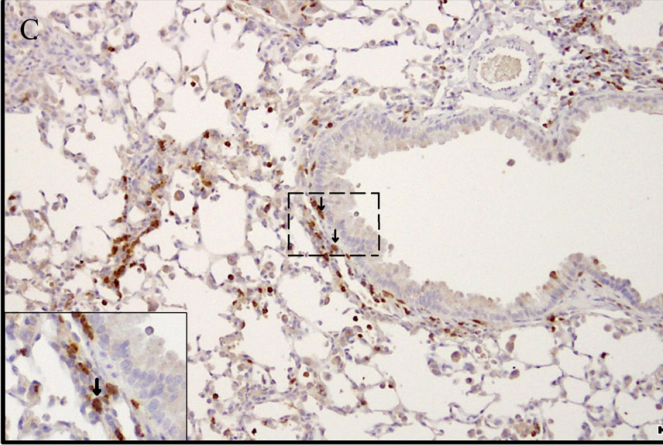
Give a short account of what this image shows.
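A section of lung shows an airway lined by columnar epithelium, with a small blood vessel beside it and alveolar walls all around. Numerous small round cells with dense red-brown staining are scattered through thickened alveolar walls, gather beneath the airway epithelium, and some lie free in the air spaces. Other nuclei are counterstained blue.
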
